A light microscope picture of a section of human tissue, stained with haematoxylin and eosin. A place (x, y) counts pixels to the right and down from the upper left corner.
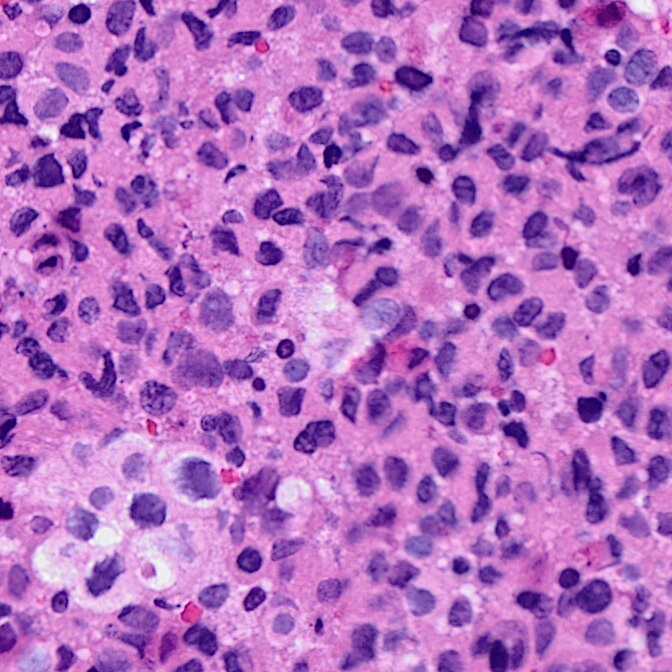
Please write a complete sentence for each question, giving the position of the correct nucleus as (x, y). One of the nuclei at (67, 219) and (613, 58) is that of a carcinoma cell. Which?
Of these two nuclei, it is the one at (67, 219) that belongs to a carcinoma cell.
